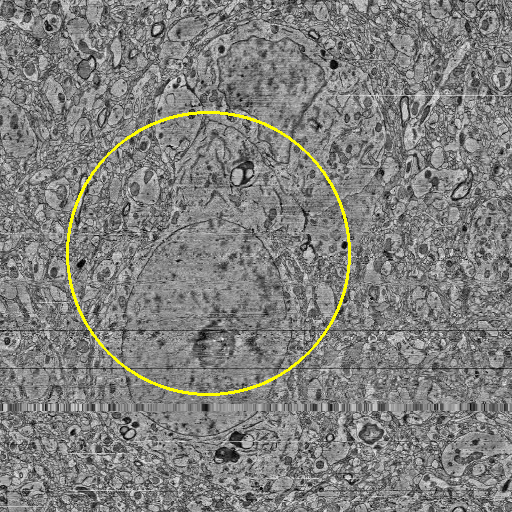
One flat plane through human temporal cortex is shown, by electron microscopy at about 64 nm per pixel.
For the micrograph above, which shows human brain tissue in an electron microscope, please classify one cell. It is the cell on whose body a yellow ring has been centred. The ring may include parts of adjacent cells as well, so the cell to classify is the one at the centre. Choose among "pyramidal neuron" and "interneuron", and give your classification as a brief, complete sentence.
I classify this cell as a pyramidal neuron.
